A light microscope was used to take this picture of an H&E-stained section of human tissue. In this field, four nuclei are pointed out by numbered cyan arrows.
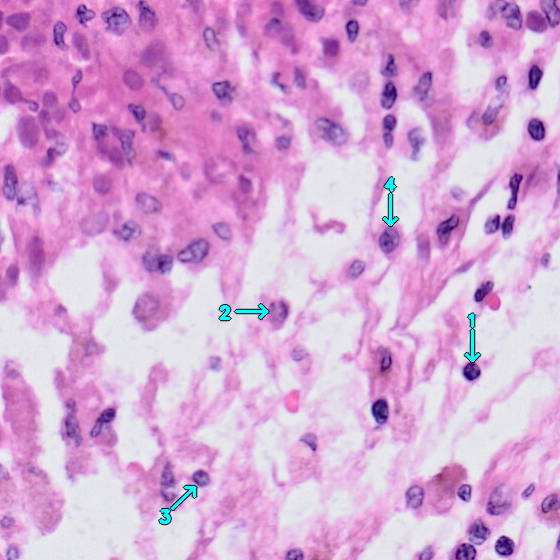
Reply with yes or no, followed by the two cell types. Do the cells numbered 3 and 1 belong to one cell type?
Yes, as for cells 3 and 1, both are lymphocytes.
